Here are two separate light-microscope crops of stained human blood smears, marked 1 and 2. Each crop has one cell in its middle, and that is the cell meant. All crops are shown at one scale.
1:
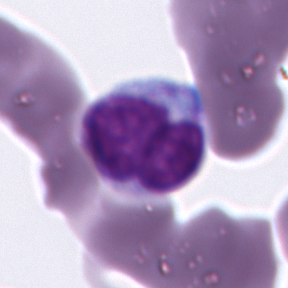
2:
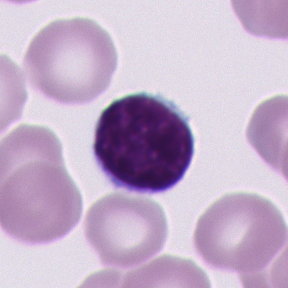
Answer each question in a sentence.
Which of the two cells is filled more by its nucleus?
The nucleus fills more of the cell in crop 2 than in crop 1.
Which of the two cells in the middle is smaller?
It is the cell in crop 2; the cell in crop 1 has about 1.5 times its area.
